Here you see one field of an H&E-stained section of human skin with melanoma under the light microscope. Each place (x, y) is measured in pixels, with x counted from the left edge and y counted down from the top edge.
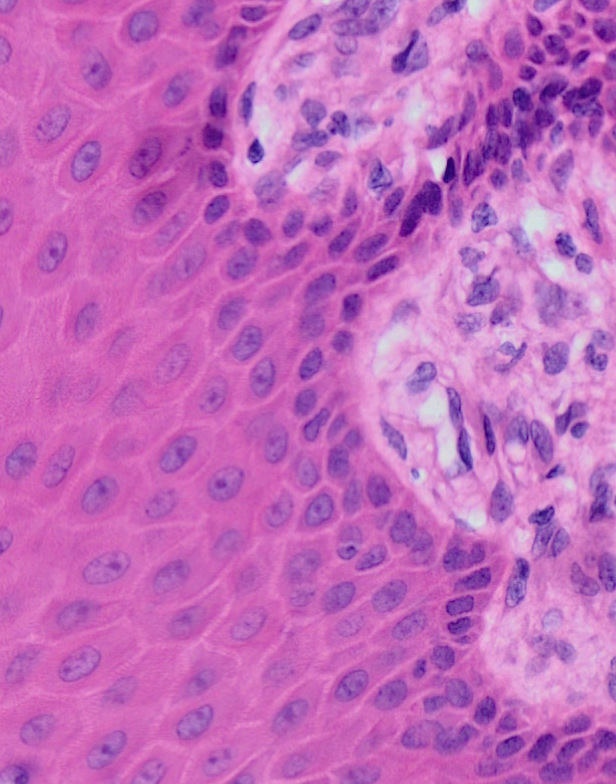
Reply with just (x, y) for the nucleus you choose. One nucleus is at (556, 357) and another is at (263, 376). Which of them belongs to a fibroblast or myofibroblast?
(556, 357)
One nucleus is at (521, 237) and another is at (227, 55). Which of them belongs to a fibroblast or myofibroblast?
(521, 237)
